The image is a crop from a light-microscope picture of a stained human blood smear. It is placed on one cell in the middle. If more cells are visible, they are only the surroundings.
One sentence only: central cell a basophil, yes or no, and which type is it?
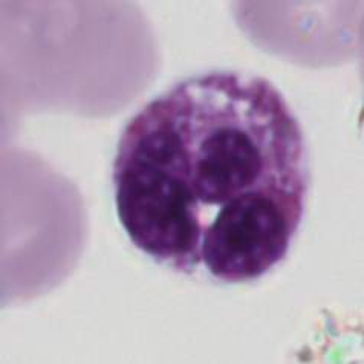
No, the central cell is not a basophil, being instead an eosinophil.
